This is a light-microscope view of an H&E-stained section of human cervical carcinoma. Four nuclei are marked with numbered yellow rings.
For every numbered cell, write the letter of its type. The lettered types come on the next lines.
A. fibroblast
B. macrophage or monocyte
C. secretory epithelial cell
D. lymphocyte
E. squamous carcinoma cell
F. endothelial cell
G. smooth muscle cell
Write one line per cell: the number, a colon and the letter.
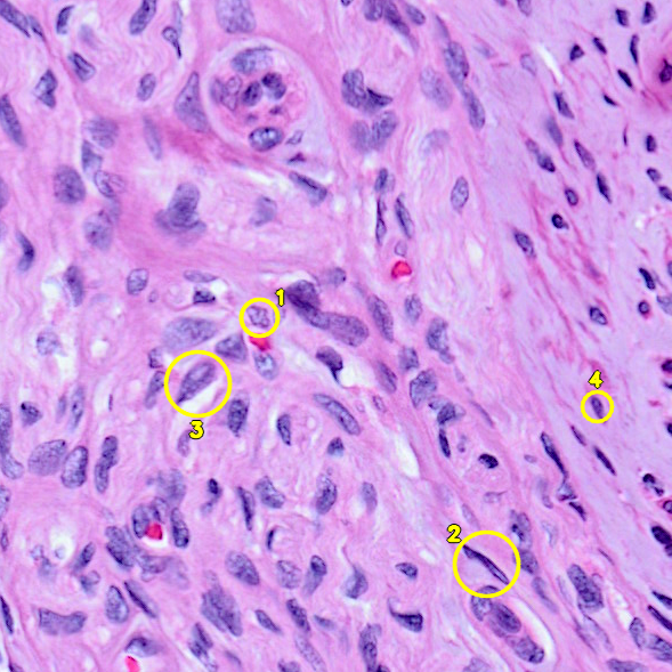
1: F
2: A
3: F
4: G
